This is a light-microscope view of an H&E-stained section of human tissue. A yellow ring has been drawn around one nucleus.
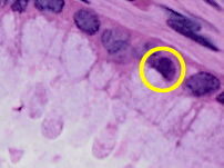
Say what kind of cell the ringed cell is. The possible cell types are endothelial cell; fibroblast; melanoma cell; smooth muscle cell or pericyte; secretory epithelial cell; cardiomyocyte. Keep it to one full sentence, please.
Typologically, the ringed cell is a secretory epithelial cell in this section.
